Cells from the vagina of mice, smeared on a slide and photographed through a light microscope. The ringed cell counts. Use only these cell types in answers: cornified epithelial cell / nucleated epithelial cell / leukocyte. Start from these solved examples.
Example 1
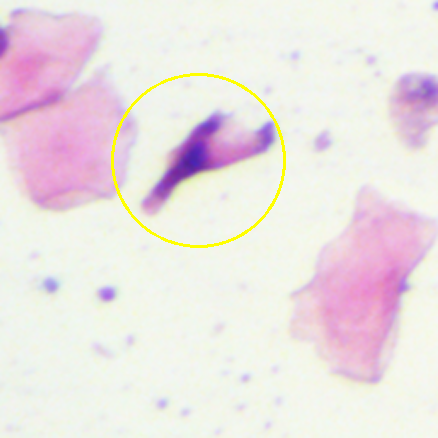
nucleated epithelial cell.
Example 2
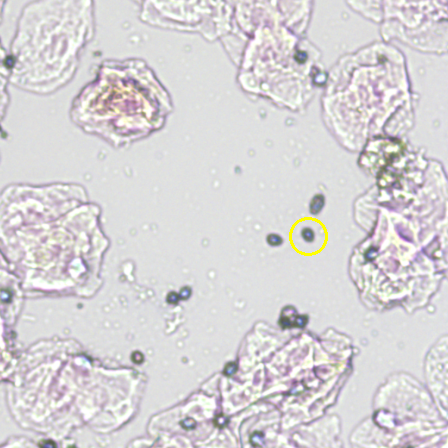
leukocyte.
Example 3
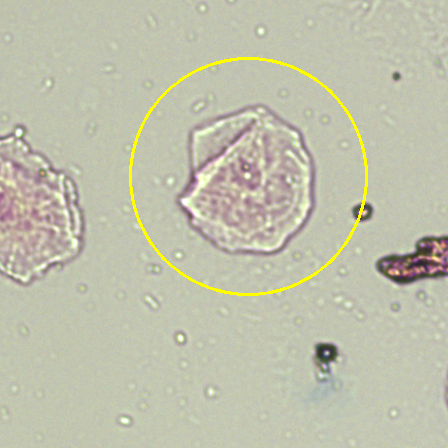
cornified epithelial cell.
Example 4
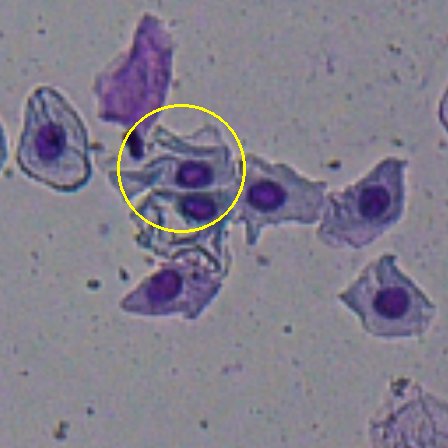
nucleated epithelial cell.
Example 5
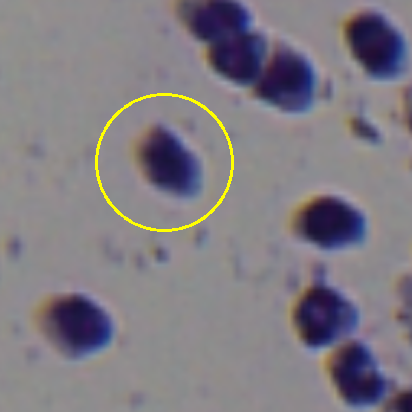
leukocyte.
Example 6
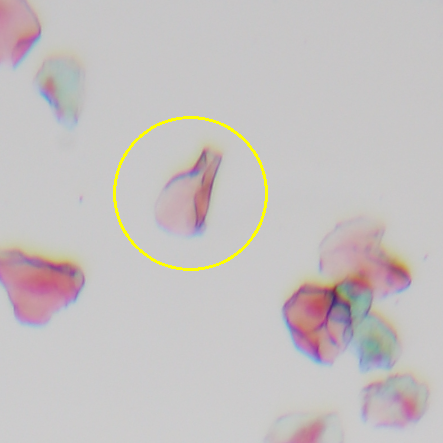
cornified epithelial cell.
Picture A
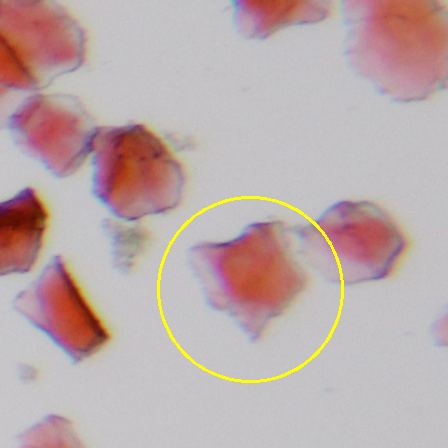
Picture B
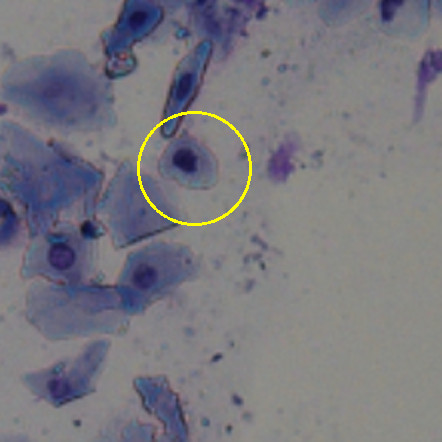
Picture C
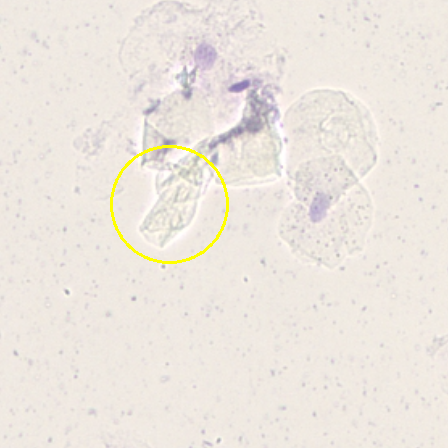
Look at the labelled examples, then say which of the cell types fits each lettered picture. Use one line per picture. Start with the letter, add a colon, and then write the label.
A: cornified epithelial cell.
B: nucleated epithelial cell.
C: cornified epithelial cell.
